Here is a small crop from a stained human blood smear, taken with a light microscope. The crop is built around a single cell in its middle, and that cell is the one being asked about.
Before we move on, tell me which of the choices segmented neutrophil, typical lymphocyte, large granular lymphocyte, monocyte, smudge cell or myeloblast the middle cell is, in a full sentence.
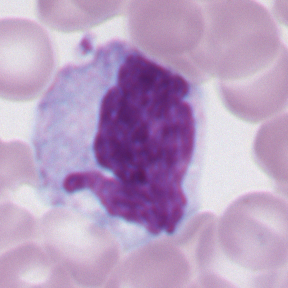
On this slide crop, the central cell is a monocyte.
